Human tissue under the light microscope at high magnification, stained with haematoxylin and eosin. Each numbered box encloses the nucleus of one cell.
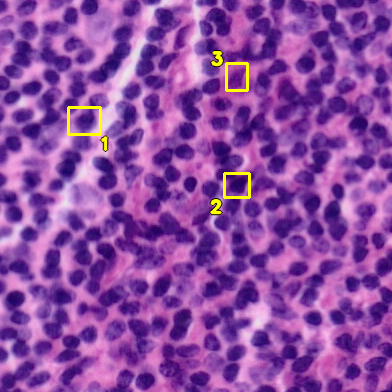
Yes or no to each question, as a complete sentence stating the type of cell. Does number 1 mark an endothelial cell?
No, cell 1 should be classed as a small lymphocyte, not as an endothelial cell.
